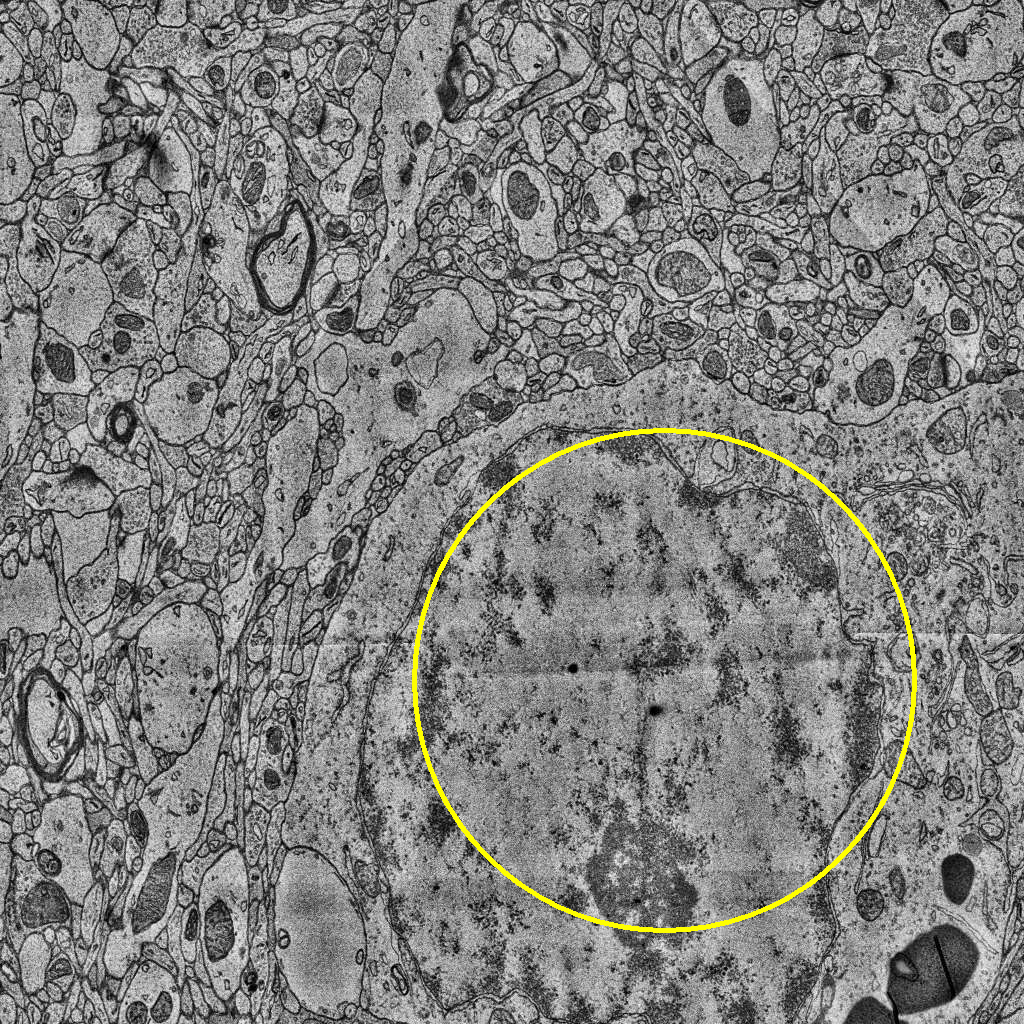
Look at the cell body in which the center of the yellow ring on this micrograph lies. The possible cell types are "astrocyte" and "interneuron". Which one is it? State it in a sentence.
The cell at the middle of the ring is an interneuron.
